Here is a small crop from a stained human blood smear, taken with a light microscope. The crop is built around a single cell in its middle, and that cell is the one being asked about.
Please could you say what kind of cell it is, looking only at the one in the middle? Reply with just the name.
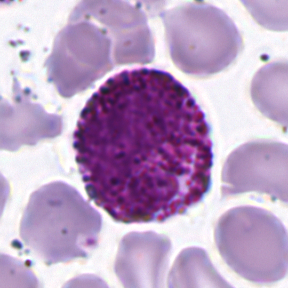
basophil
